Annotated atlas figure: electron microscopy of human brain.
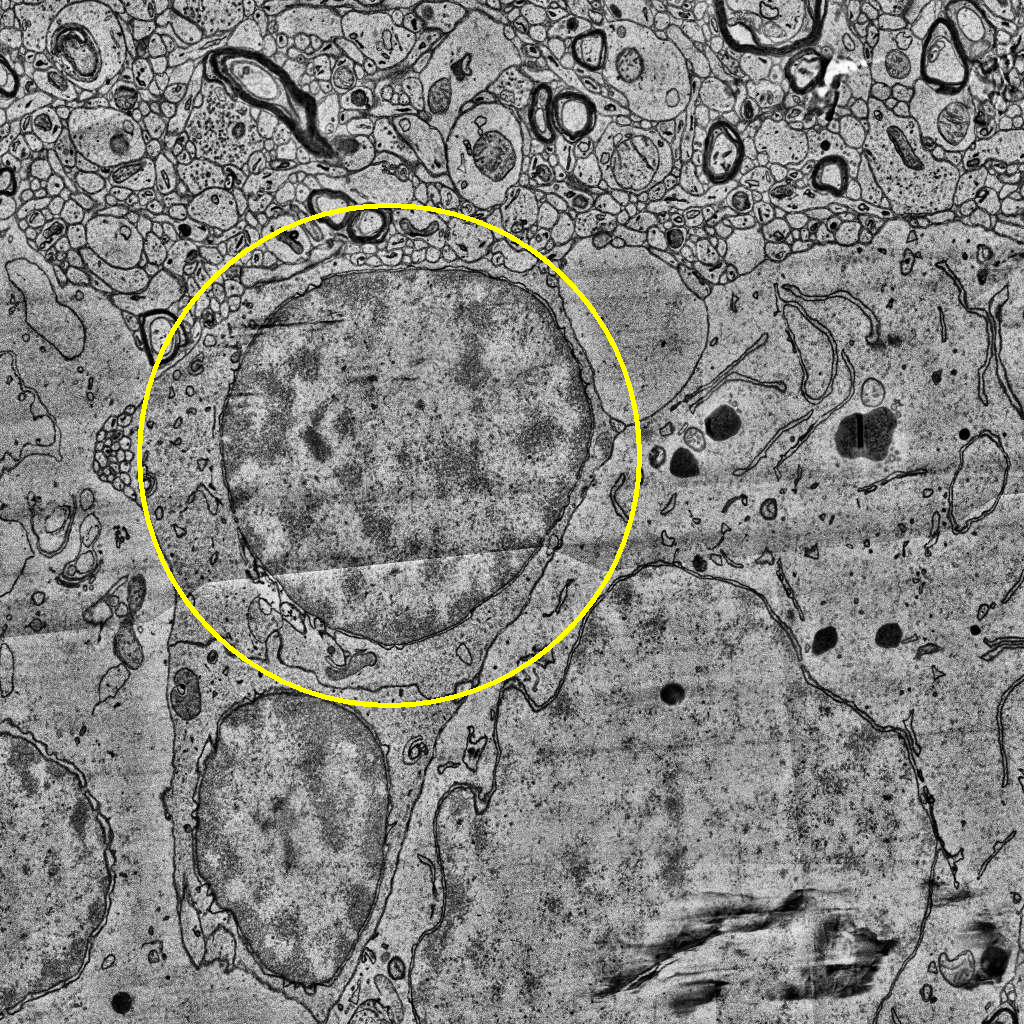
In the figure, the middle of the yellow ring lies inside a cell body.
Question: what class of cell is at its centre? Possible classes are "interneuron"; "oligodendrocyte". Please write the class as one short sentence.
The yellow ring's centre lies in an oligodendrocyte.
